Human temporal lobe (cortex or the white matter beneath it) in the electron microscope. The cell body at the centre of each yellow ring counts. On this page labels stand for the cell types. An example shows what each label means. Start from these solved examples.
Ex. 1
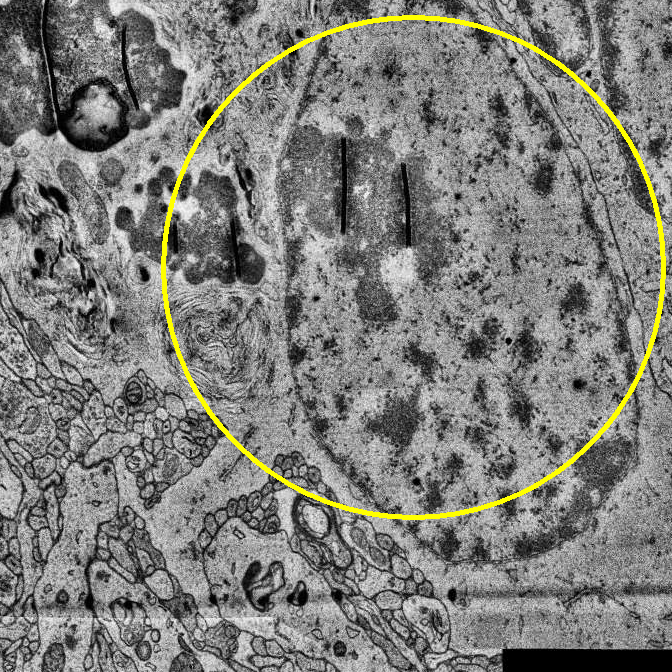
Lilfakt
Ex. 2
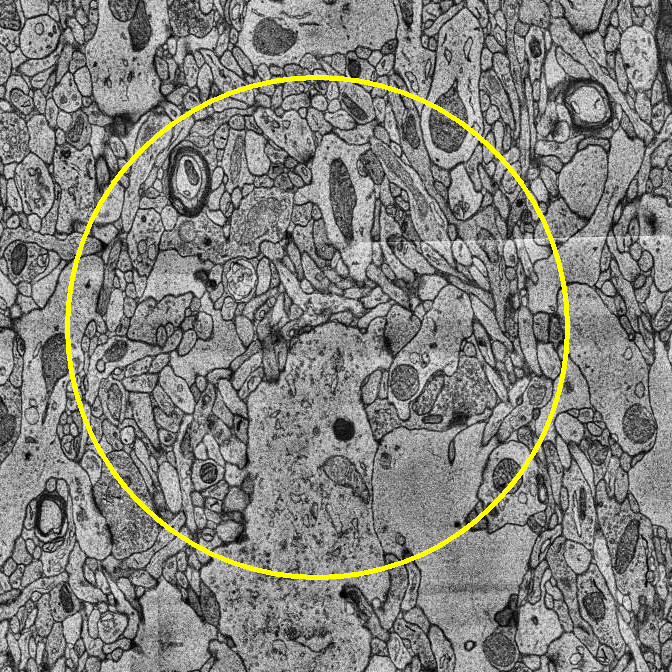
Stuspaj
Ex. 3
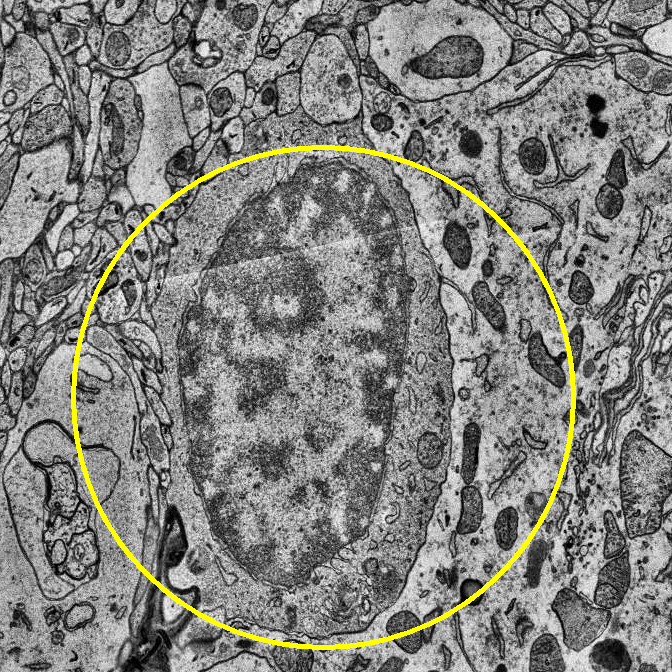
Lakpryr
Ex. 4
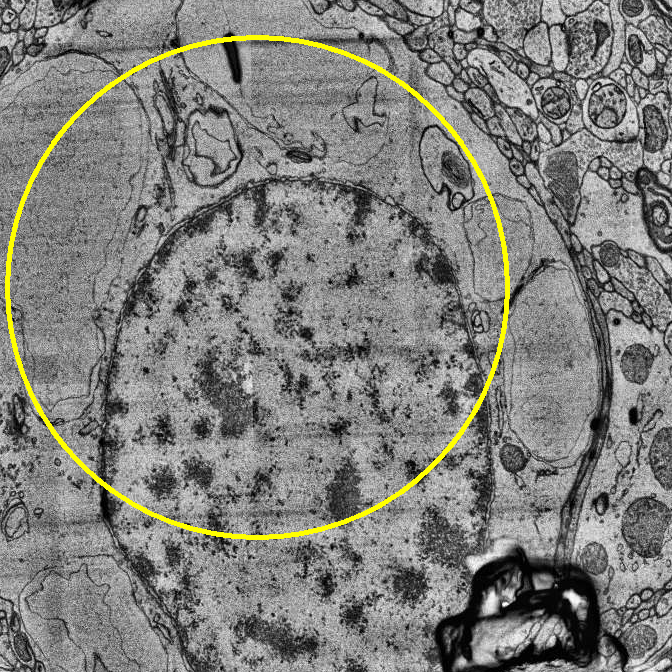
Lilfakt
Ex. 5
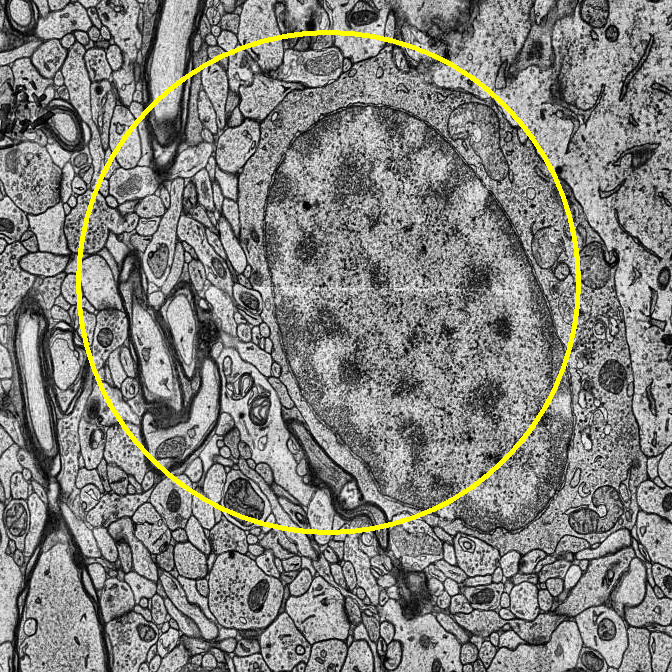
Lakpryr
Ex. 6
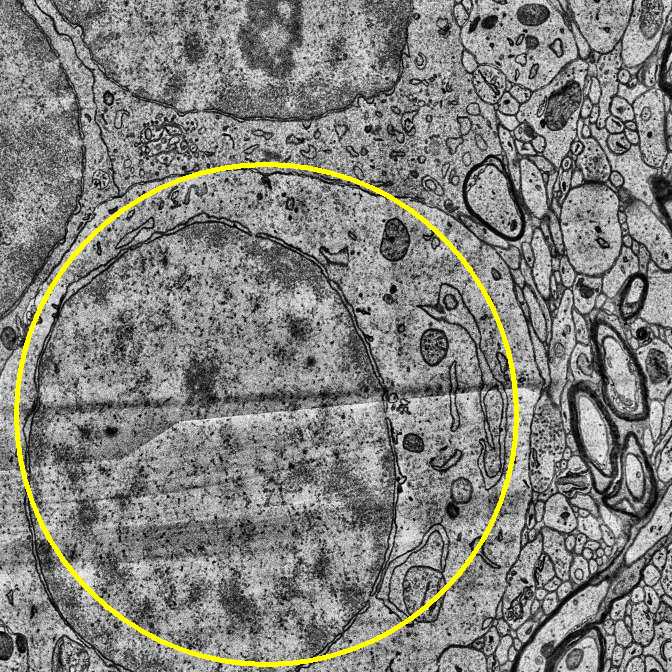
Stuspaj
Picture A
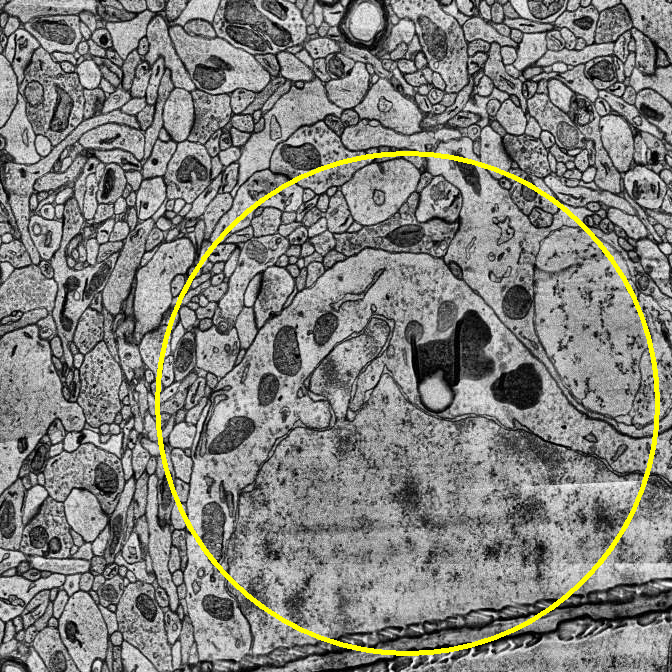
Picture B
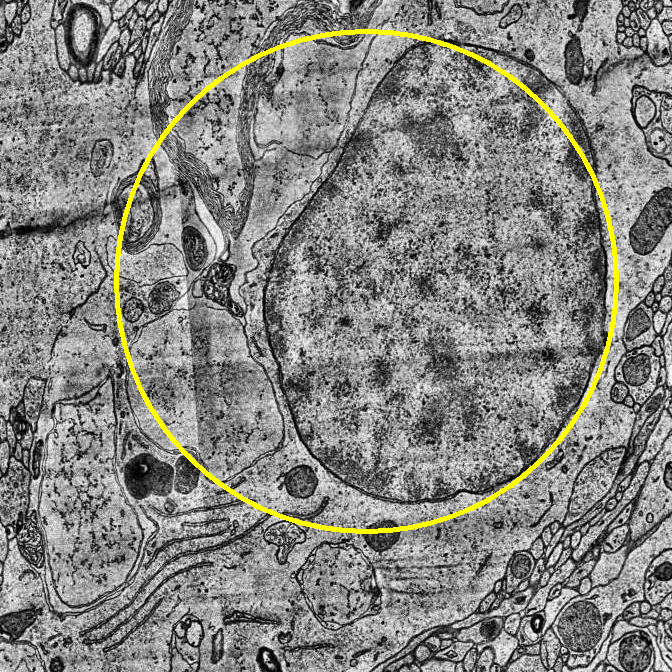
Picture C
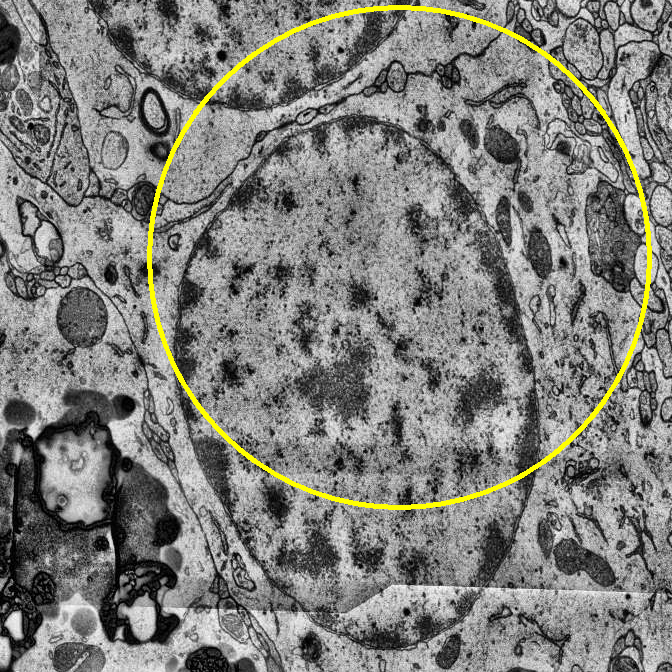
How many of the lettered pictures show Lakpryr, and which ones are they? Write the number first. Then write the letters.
0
